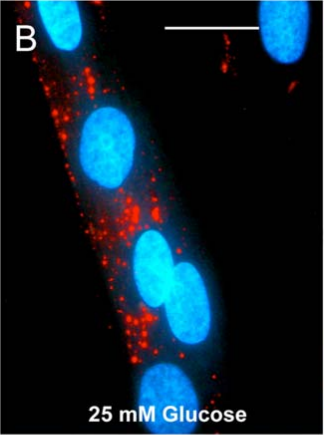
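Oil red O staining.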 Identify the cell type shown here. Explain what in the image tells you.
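Myotubes. A long, tube-shaped cell runs across the panel. Several oval nuclei lie in a row within the one cell.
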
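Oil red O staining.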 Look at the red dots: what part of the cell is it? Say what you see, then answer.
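Many small round red dots fill the cytoplasm of a long cell. The red dots cluster around and between the blue nuclei. On this evidence: intramyocellular lipids.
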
